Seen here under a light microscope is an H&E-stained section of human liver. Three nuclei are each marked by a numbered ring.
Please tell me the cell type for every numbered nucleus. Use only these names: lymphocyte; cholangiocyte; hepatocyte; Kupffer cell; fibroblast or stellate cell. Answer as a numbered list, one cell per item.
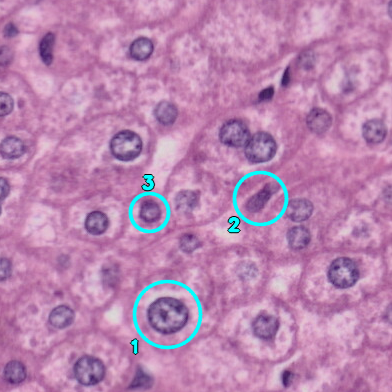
1. hepatocyte
2. Kupffer cell
3. hepatocyte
